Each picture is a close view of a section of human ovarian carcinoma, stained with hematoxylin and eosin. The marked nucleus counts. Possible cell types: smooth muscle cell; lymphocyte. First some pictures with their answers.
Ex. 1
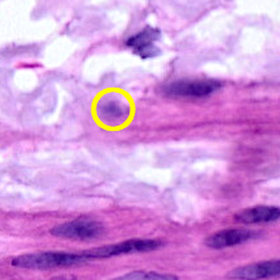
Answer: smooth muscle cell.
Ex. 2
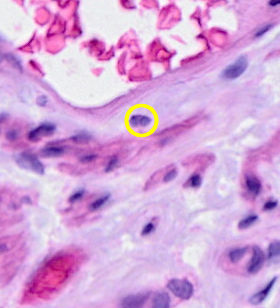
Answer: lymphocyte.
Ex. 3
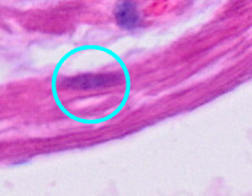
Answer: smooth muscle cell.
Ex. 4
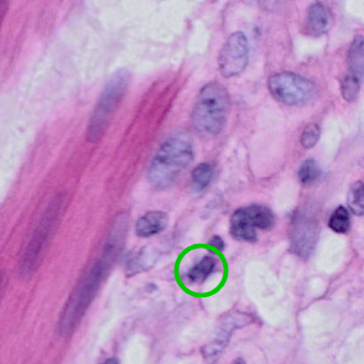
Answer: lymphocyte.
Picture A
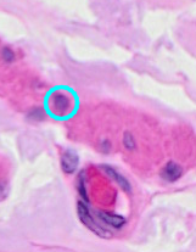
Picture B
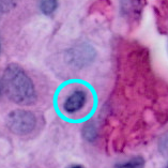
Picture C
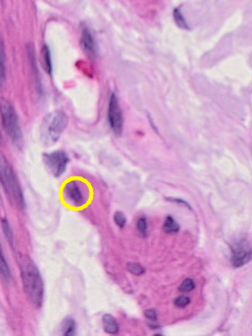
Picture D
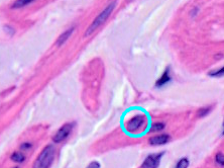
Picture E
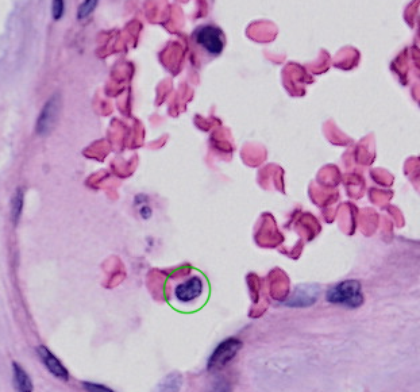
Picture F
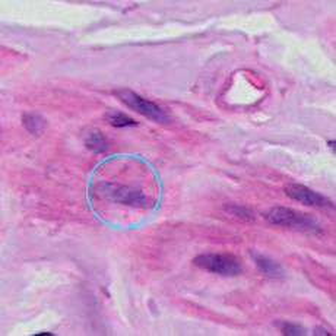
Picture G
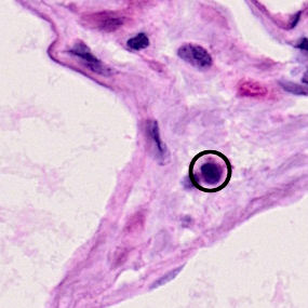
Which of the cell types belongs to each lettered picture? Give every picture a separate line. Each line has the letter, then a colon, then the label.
A: smooth muscle cell.
B: lymphocyte.
C: smooth muscle cell.
D: smooth muscle cell.
E: lymphocyte.
F: smooth muscle cell.
G: lymphocyte.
